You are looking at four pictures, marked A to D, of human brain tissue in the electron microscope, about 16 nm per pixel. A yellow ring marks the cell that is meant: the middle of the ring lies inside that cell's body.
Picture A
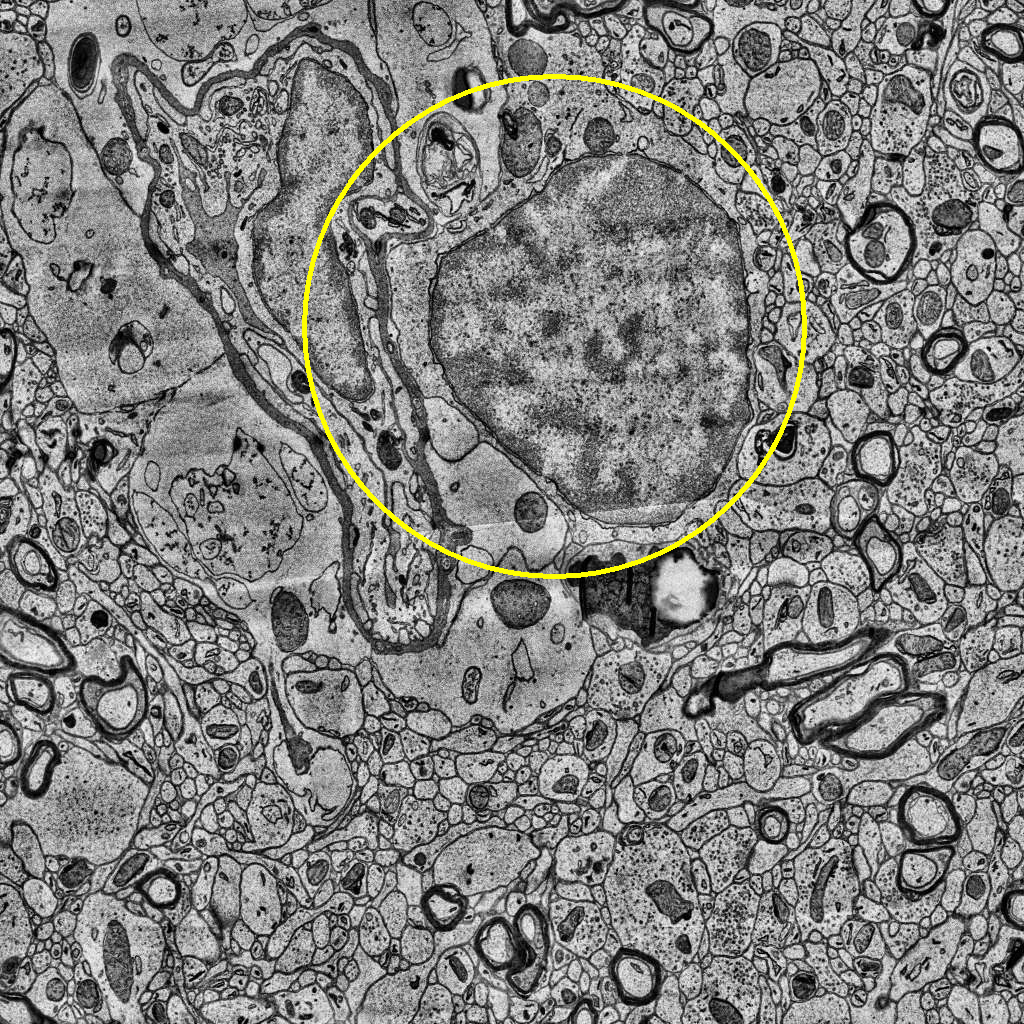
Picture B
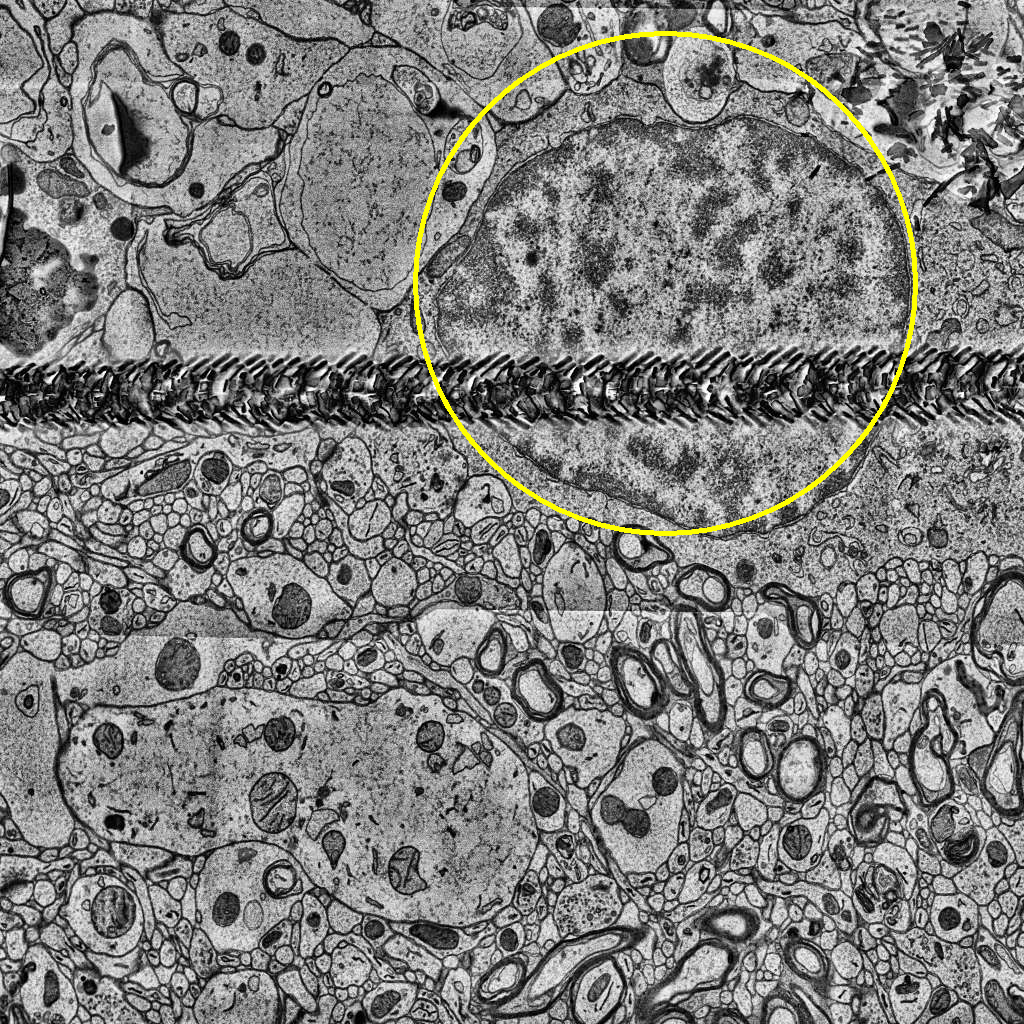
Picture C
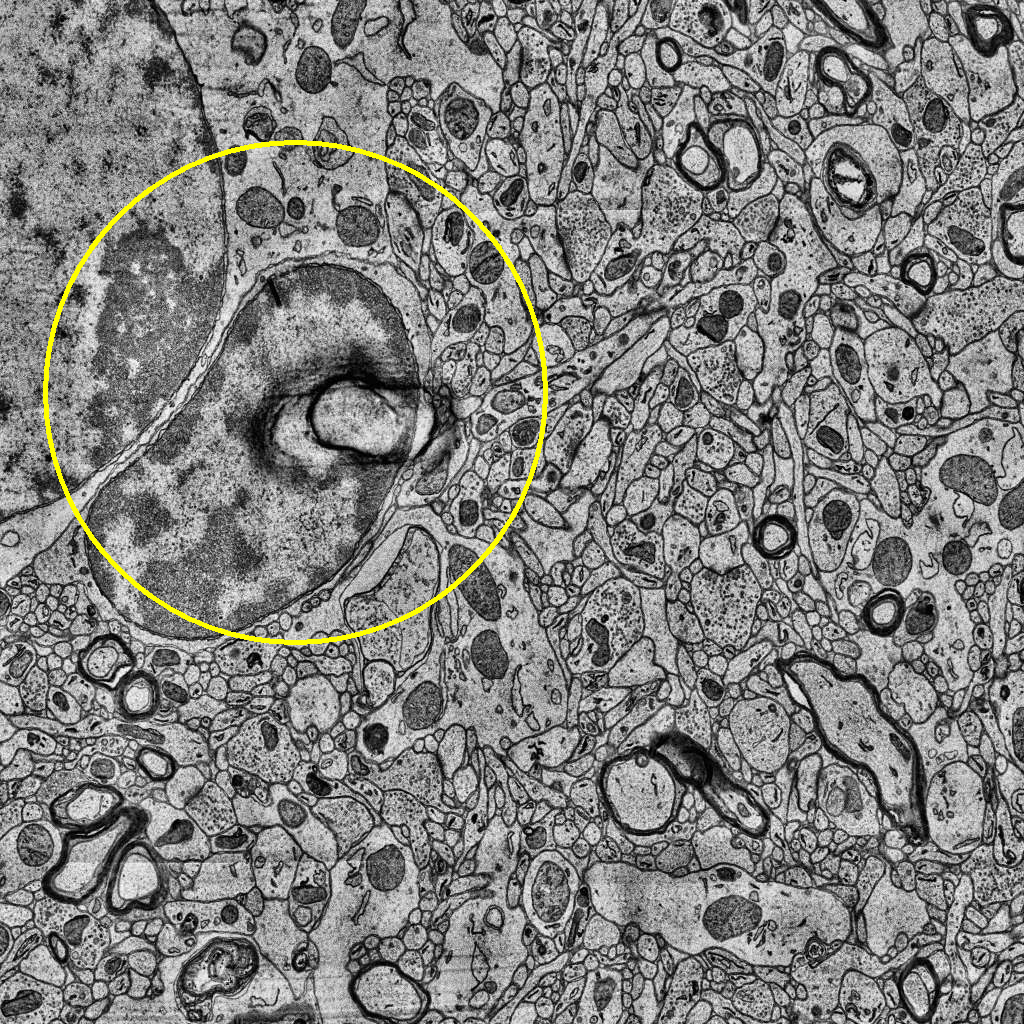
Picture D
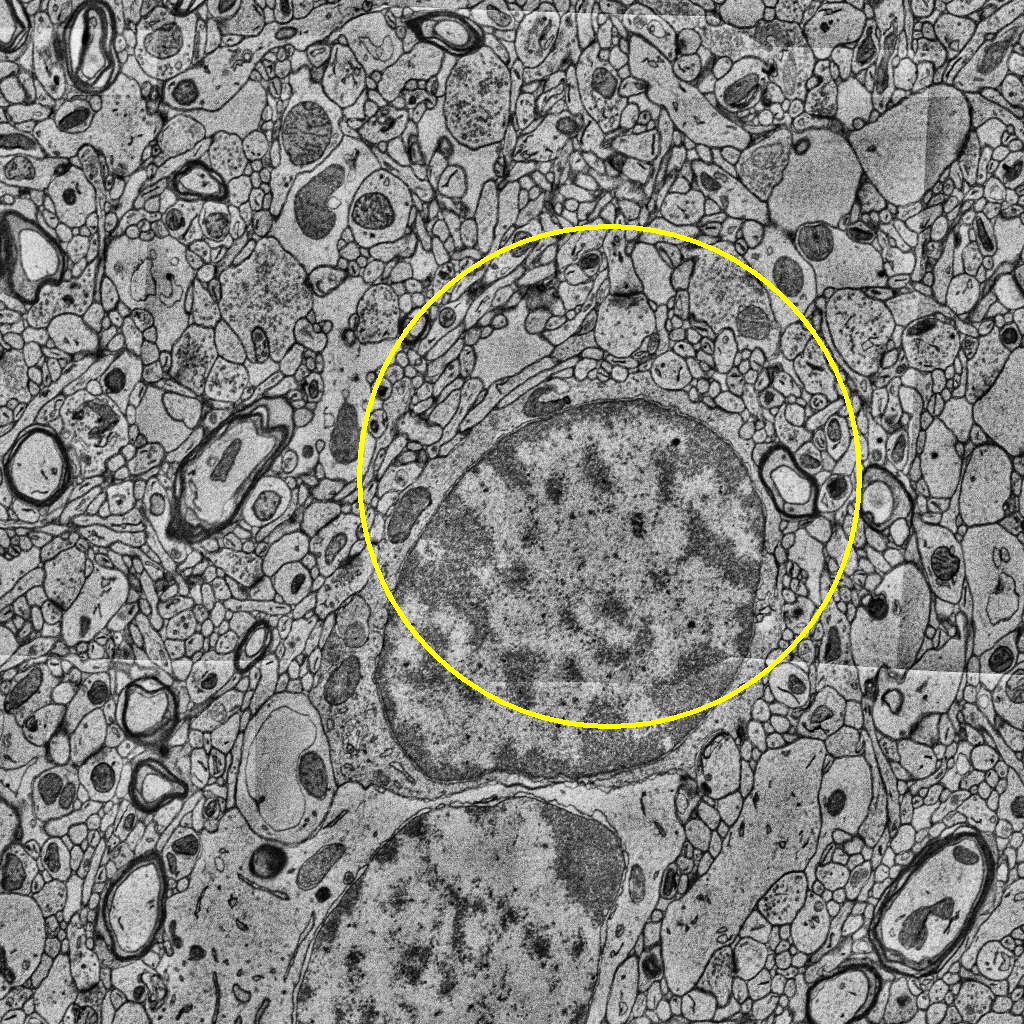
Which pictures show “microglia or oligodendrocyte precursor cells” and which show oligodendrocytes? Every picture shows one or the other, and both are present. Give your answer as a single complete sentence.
Picture C shows a “microglia or oligodendrocyte precursor cell”, while pictures A, B and D show oligodendrocytes.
